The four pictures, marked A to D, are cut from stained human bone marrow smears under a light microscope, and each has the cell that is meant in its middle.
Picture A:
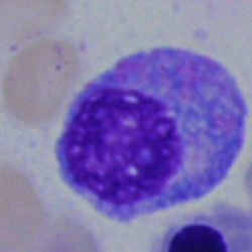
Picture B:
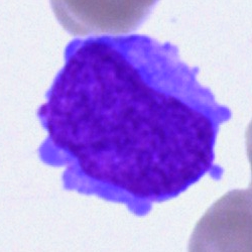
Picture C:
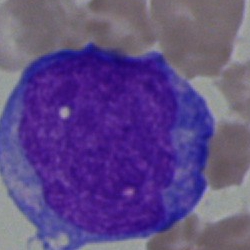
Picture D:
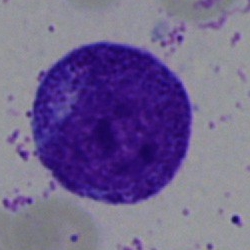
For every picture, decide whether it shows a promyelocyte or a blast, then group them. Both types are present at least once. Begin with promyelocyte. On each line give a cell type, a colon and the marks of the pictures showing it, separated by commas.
promyelocyte: A, D
blast: B, C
